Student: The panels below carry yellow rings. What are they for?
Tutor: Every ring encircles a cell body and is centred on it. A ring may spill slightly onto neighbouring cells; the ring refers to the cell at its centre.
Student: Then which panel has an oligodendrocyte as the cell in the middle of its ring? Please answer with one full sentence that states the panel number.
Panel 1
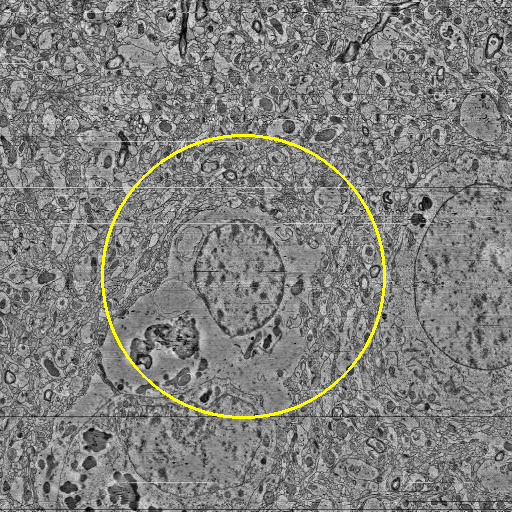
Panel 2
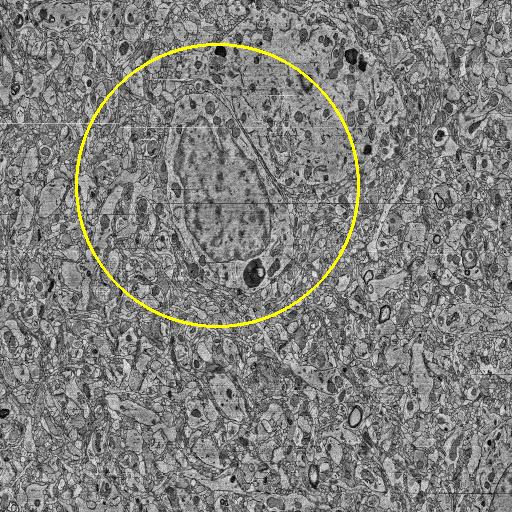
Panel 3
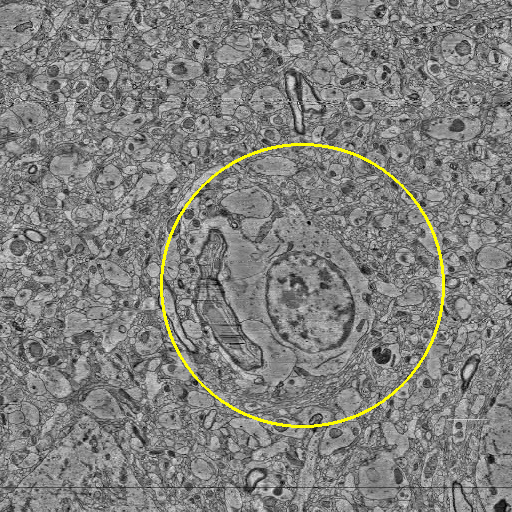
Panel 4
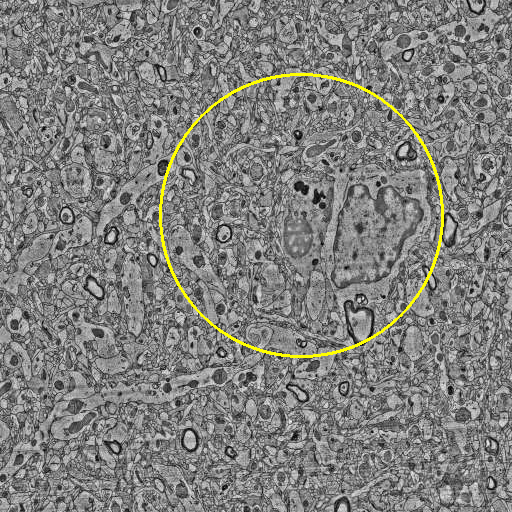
In Panel 4, the cell centred in the ring is the one sought.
